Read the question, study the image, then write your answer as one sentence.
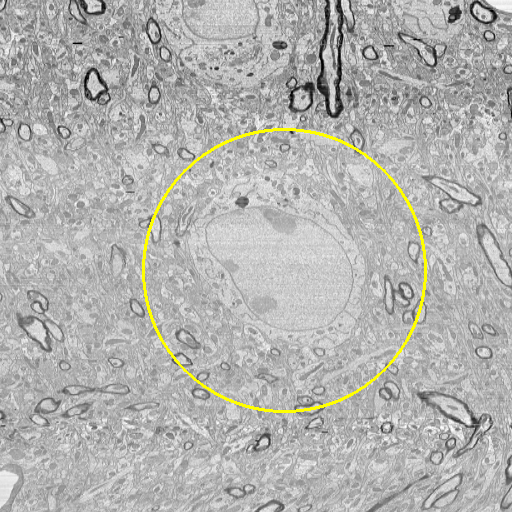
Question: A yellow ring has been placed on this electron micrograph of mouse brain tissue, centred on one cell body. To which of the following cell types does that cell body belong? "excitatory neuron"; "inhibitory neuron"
That cell body belongs to an excitatory neuron.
